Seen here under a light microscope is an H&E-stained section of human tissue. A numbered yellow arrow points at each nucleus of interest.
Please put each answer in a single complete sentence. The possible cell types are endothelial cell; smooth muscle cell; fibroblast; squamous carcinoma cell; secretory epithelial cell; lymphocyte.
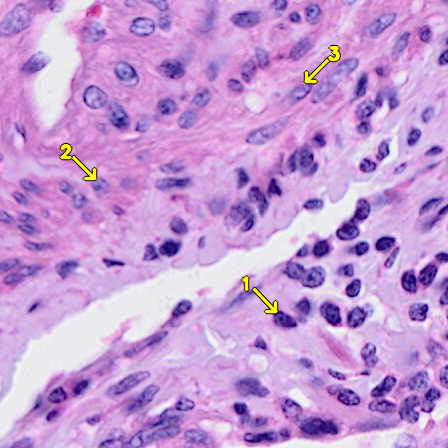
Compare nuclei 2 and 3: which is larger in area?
Nucleus 3 is larger, with an area about 1.5 times that of nucleus 2.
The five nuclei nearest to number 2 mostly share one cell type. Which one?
The majority of the five nuclei closest to number 2 belong to smooth muscle cells.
